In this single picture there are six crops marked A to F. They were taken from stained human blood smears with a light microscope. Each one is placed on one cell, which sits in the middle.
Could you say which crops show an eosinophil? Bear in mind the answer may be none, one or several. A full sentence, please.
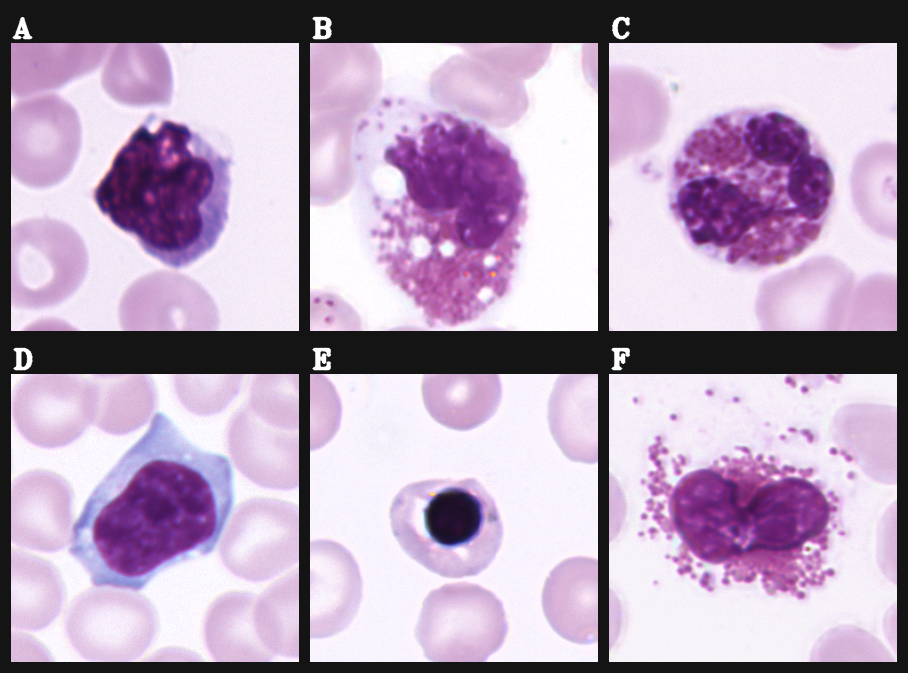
With regard to crops B, C and F, the central cells are eosinophils.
